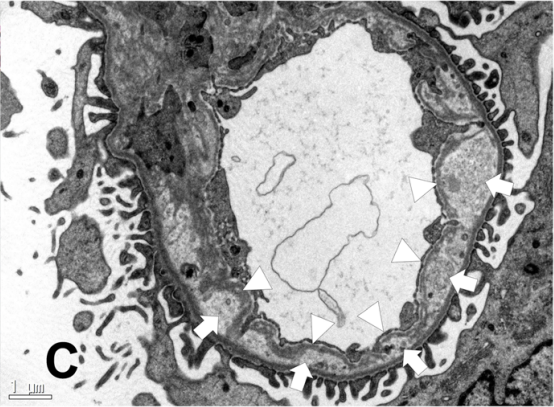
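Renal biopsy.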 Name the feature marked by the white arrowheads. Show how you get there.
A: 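A thin dense line runs on the inner side of the capillary wall. It is separated from the outer dense membrane by a lucent band.
Hence: New basement membrane formation.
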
